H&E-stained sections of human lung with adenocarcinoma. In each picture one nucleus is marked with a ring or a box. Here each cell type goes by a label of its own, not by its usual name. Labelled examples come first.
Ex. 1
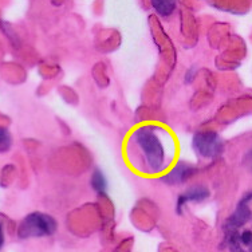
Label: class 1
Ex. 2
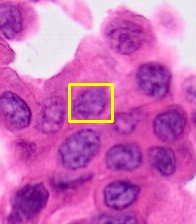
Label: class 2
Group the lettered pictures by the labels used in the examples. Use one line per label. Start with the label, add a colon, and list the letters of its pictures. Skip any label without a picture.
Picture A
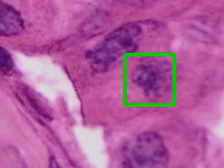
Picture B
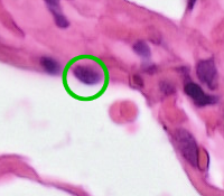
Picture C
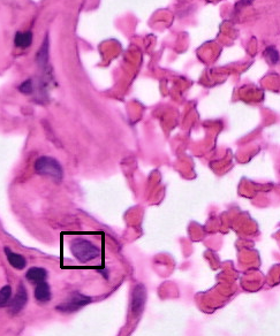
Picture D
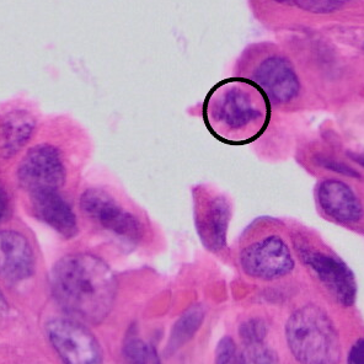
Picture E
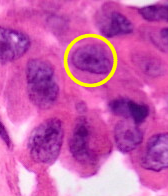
class 1: B, C
class 2: A, D, E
